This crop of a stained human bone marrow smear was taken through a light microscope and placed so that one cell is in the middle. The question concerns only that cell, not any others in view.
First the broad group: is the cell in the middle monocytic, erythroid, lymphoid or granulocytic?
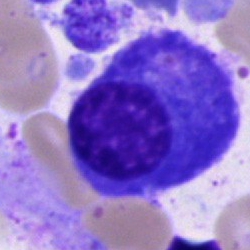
lymphoid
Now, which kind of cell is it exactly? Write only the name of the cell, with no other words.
plasma cell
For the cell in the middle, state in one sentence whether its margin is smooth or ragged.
Worth noting that the cell border is smooth and lacks projections.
